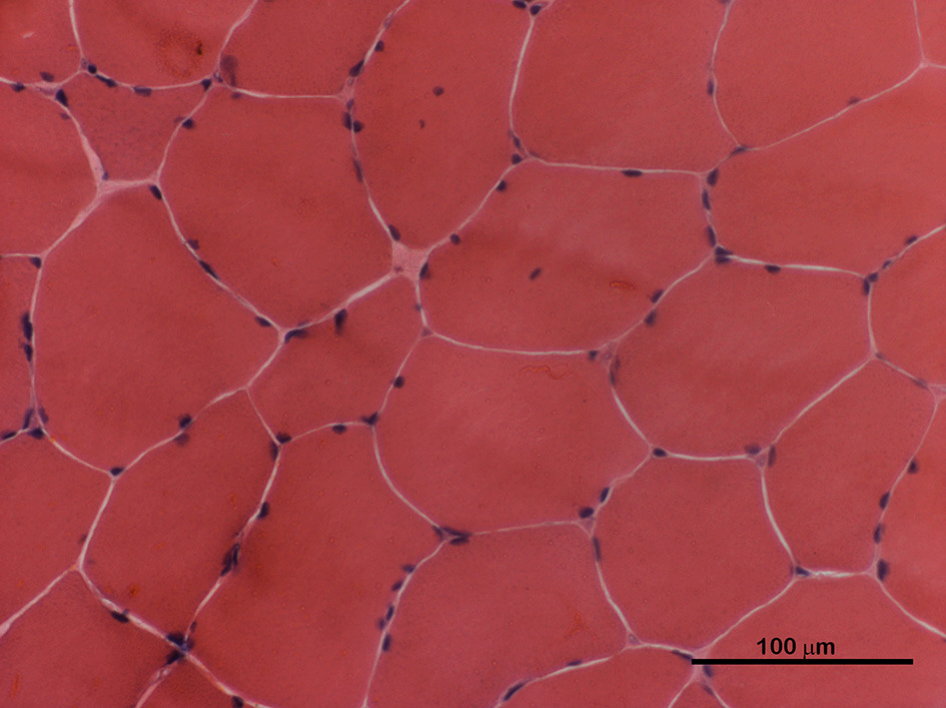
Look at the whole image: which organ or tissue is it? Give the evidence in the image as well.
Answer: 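Large polygonal pink fibres packed closely in cross-section. Flattened dark nuclei sit at the fibre edges beneath the borders. Thin pale connective tissue separates the fibres.
Hence: skeletal muscle.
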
